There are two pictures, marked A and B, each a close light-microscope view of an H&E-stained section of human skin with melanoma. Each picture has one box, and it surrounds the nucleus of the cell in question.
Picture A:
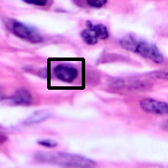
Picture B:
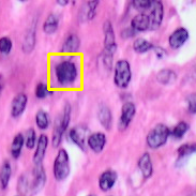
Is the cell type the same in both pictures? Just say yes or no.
yes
